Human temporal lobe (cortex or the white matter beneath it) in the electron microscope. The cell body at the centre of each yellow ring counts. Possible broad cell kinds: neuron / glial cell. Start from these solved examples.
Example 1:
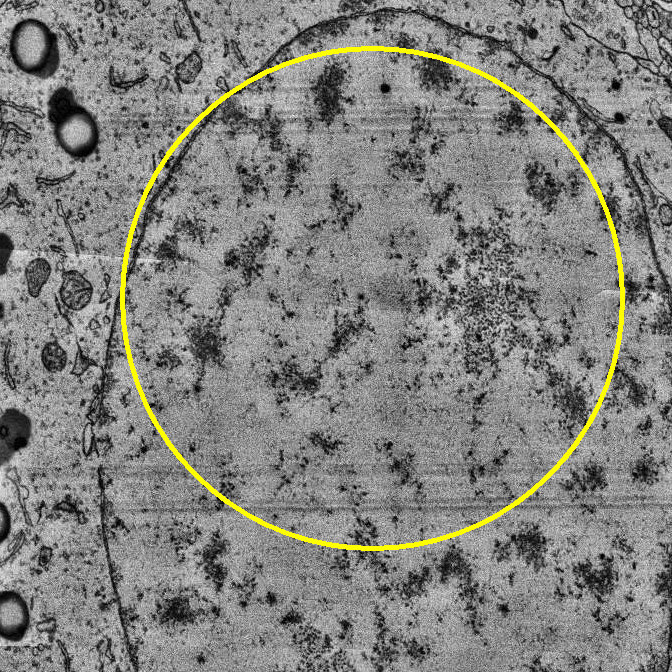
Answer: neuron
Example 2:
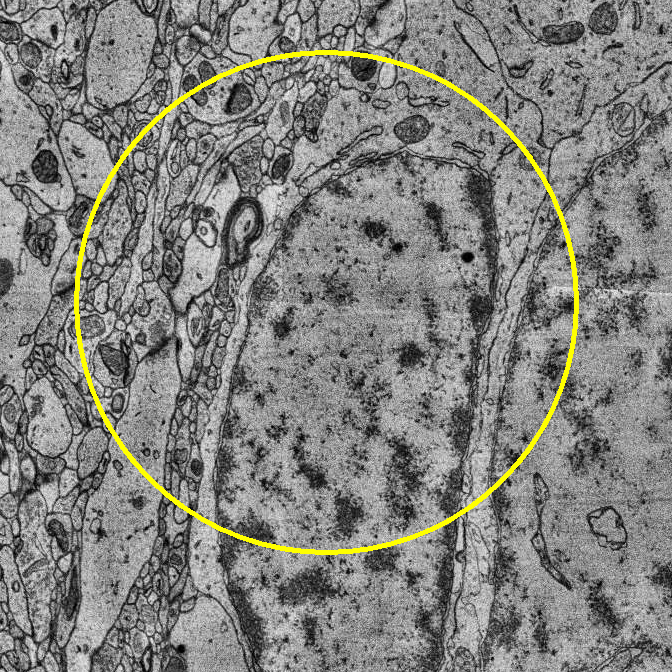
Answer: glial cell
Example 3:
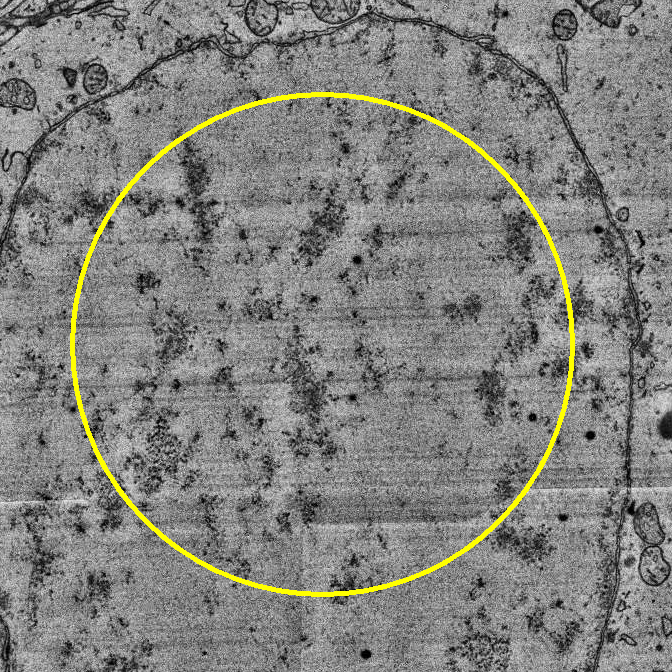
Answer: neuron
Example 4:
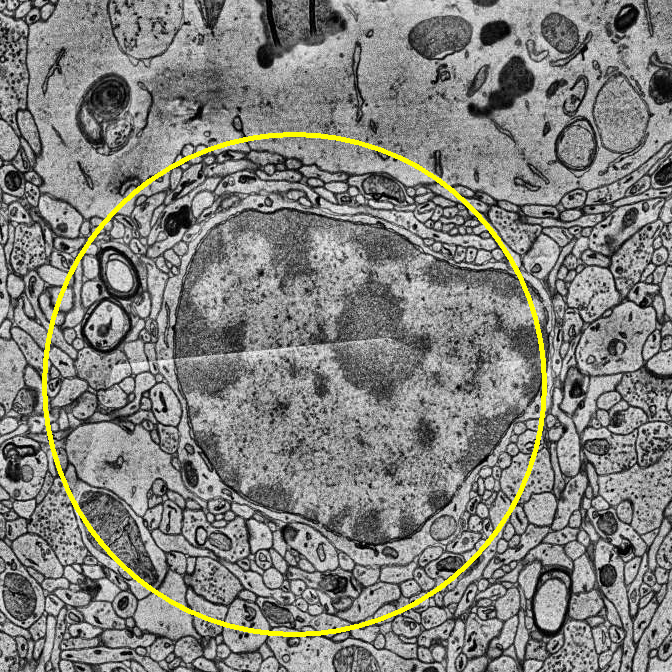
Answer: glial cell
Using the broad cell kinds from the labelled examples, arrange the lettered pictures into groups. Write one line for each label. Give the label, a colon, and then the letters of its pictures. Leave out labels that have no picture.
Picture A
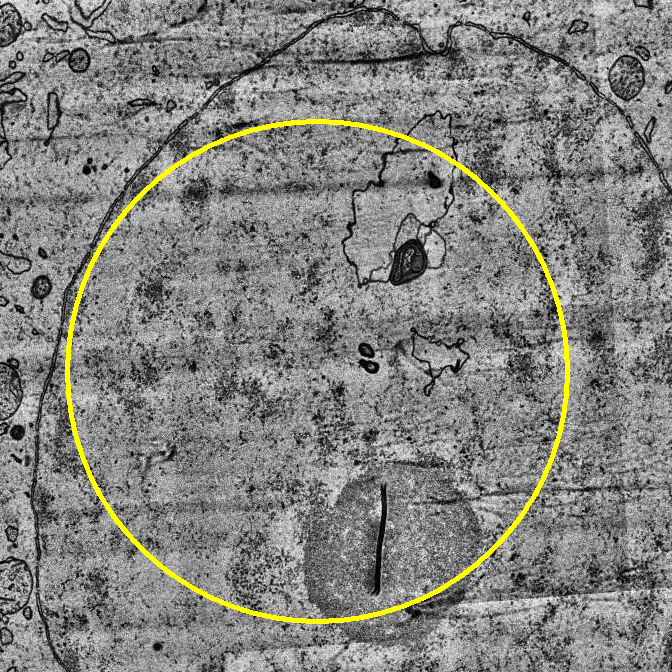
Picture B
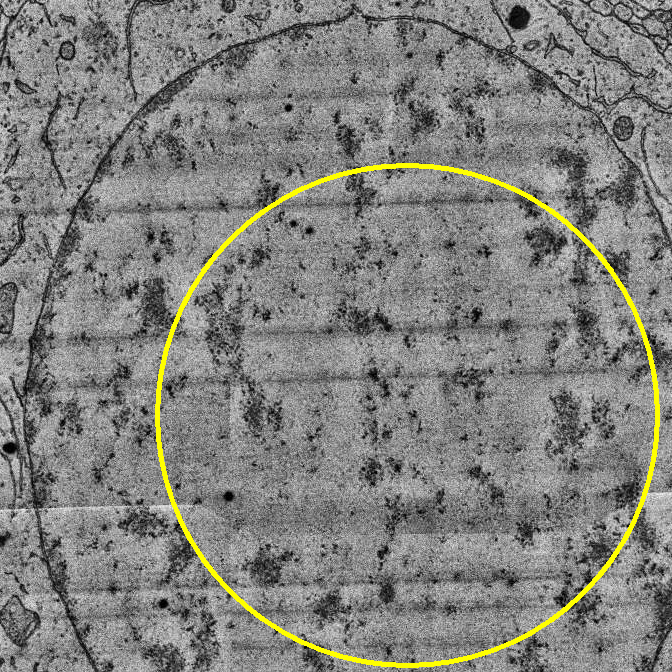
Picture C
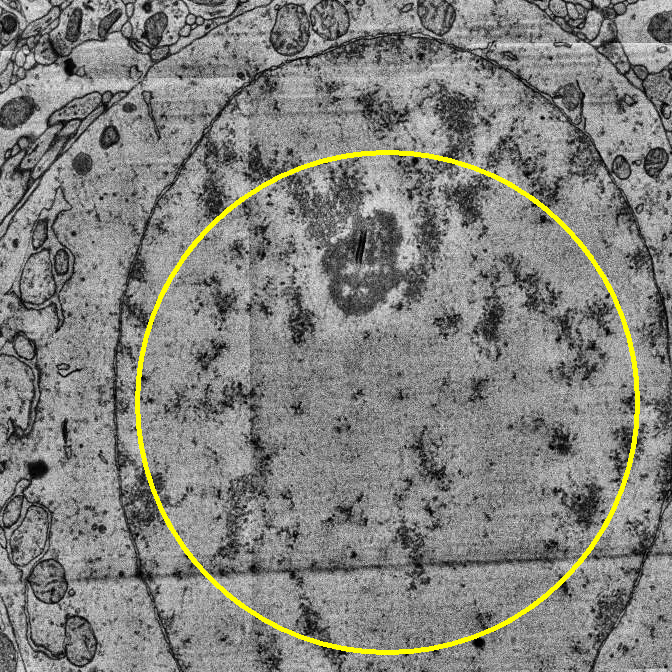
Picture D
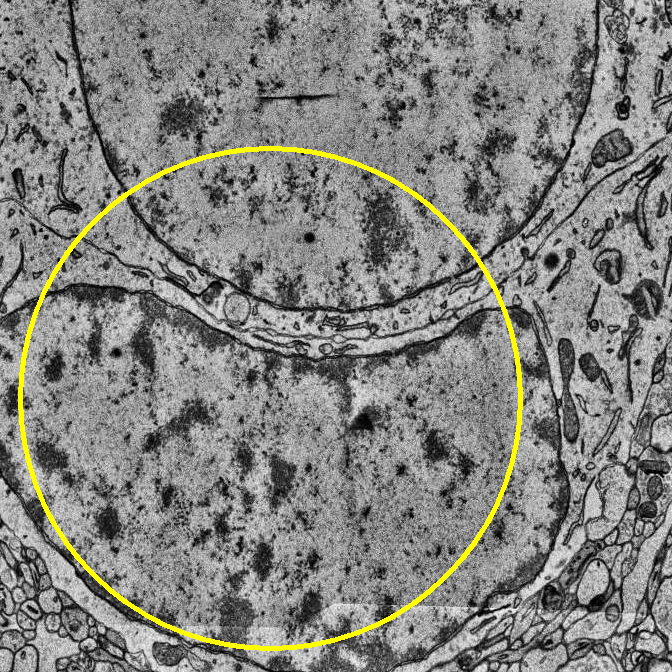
neuron: A, B, C
glial cell: D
